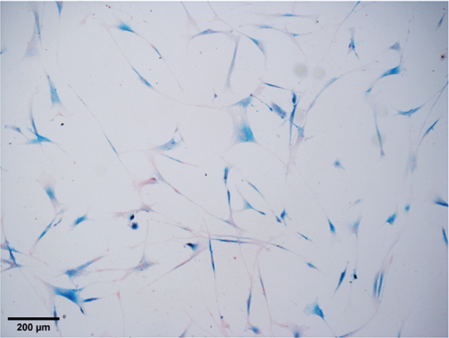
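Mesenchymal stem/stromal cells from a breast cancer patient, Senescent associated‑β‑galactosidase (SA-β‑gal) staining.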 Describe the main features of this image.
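The cells are elongated, spindle-shaped or stellate, with long, thin processes that reach across the field and touch neighbouring cells. Cells without blue appear as faint pinkish outlines. The cells lie loosely scattered, without forming a closed layer.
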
